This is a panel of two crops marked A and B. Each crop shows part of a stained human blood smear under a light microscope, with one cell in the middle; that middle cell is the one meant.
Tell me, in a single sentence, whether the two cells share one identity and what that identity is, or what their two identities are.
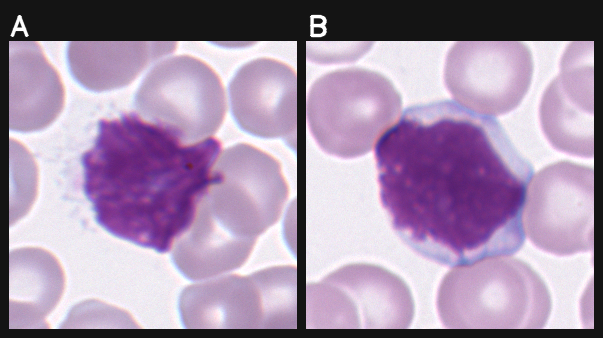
No, crop A shows a smudge cell, and crop B, by contrast, shows a typical lymphocyte.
